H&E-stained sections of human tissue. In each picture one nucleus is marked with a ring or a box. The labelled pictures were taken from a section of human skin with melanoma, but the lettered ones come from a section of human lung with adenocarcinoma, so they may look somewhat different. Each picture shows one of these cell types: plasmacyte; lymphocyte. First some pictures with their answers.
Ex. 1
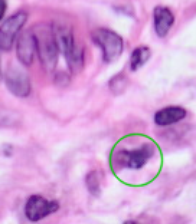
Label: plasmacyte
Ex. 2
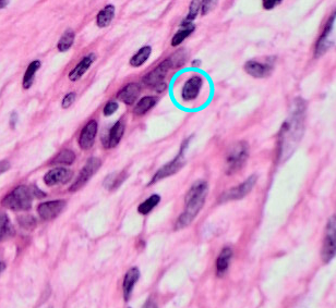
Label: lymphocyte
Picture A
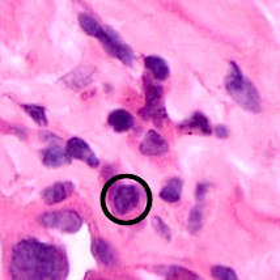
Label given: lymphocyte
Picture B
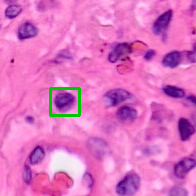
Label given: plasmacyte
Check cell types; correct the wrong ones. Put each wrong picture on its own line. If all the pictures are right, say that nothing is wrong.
A: plasmacyte, not lymphocyte
B: lymphocyte, not plasmacyte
